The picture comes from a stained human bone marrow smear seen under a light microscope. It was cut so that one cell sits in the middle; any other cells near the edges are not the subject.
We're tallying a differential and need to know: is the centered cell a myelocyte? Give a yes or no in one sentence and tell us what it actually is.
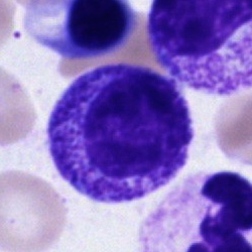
Yes, the centre of the crop holds a myelocyte.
